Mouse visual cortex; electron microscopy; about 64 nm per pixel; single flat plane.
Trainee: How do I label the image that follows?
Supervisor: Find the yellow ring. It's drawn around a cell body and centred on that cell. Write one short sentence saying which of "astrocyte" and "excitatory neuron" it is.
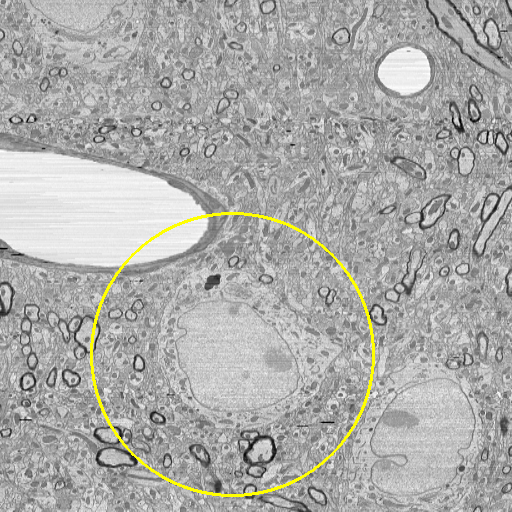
This is the cell body of an excitatory neuron.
